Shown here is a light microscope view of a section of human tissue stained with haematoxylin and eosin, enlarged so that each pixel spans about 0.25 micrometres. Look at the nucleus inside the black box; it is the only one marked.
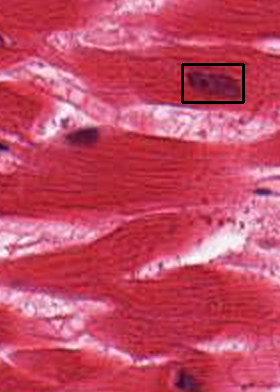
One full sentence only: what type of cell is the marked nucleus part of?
What is marked is the nucleus of a cardiomyocyte.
